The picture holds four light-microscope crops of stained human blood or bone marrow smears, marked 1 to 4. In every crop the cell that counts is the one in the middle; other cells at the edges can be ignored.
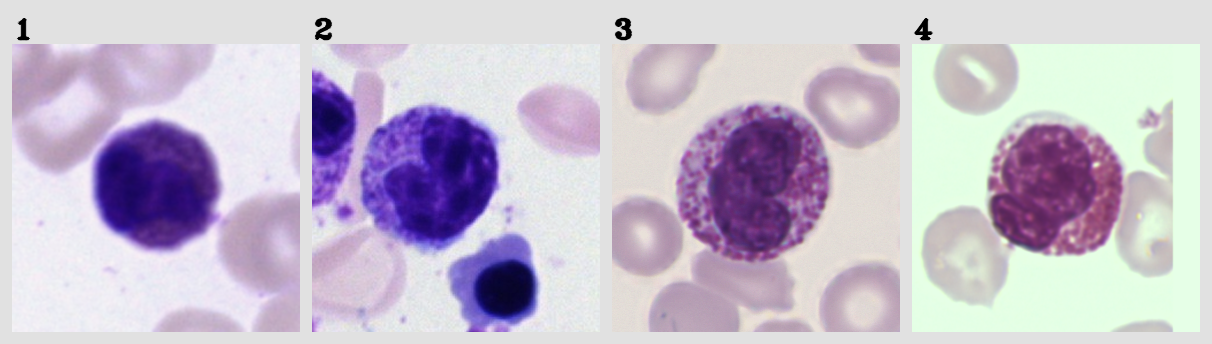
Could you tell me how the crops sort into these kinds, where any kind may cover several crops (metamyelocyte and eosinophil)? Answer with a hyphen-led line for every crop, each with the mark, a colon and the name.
- 1: eosinophil
- 2: metamyelocyte
- 3: eosinophil
- 4: eosinophil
